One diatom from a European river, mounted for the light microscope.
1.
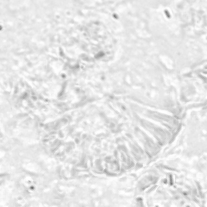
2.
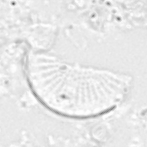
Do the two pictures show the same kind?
No: Cyclotella, then Stephanodiscus.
